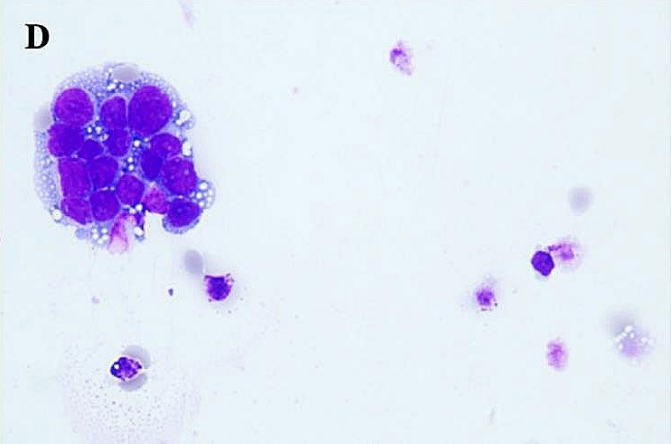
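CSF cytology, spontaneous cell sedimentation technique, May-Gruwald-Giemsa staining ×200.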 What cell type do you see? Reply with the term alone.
Tumor cells.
